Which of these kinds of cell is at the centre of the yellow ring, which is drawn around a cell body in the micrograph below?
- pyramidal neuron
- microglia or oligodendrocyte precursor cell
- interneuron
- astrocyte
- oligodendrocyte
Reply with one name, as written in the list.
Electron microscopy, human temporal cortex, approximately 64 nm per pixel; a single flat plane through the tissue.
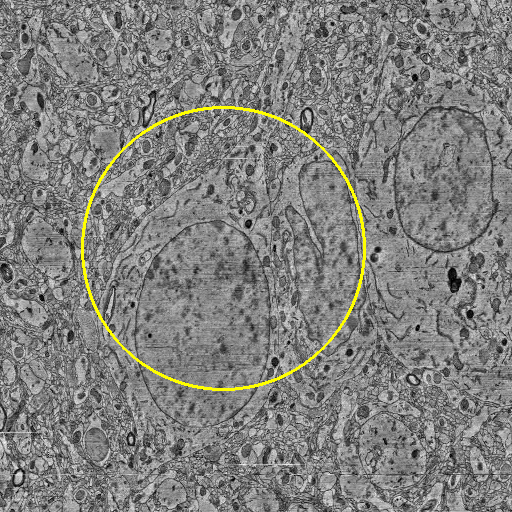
pyramidal neuron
